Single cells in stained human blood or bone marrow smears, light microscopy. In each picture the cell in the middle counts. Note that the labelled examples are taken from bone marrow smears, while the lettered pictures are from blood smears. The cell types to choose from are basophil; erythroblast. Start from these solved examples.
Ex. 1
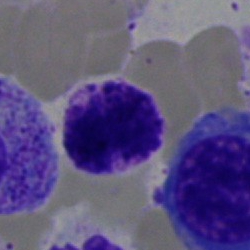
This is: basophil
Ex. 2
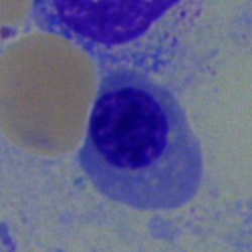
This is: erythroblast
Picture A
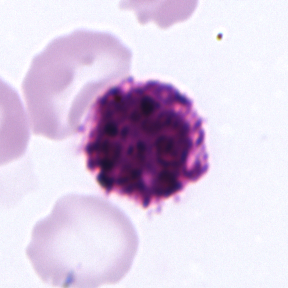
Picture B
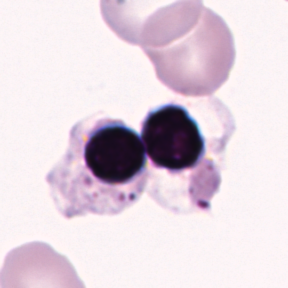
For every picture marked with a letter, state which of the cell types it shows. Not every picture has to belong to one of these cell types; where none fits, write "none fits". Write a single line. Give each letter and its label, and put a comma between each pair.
A basophil, B erythroblast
